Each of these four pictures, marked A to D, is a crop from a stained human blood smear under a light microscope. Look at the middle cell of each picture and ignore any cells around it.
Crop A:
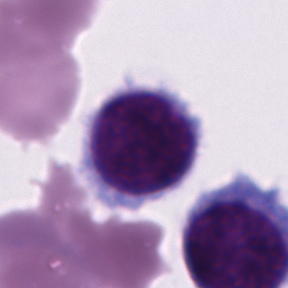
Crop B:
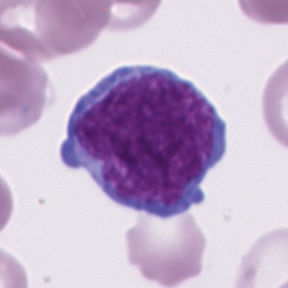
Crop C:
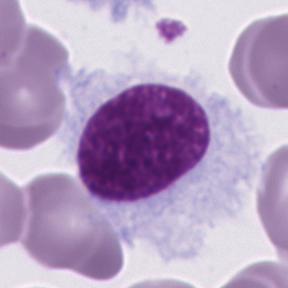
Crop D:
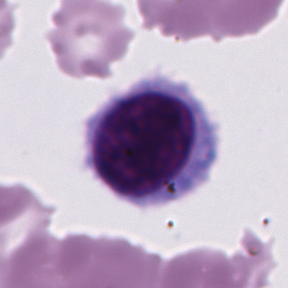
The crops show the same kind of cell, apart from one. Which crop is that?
B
